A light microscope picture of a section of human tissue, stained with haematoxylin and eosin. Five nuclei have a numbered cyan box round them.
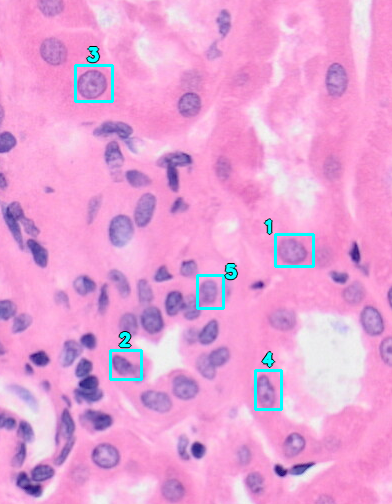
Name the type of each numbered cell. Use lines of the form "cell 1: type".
cell 1: proximal tubule cell
cell 2: collecting duct cell
cell 3: proximal tubule cell
cell 4: proximal tubule cell
cell 5: collecting duct cell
